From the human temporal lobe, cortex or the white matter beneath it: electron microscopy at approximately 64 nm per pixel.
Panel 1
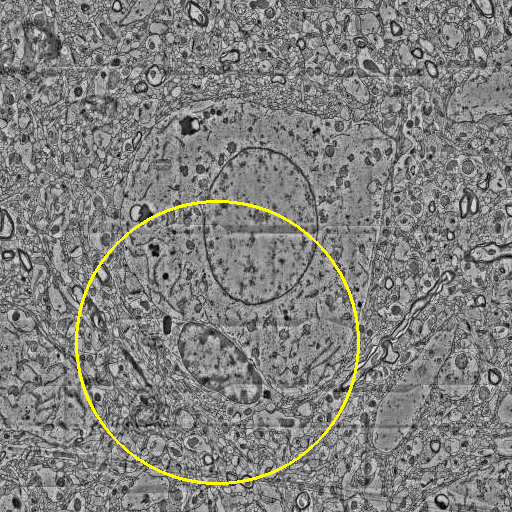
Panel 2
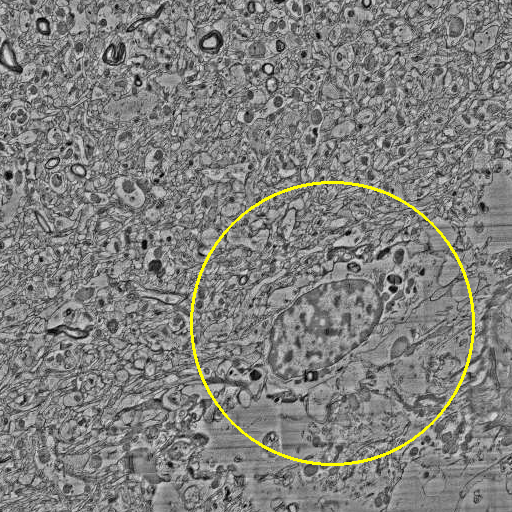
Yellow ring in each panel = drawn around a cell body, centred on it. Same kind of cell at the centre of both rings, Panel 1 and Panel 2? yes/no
yes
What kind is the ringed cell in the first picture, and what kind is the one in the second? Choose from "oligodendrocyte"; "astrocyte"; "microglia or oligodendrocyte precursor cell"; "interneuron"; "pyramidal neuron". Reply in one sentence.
In each of the two pictures, the ringed cell is a microglial cell or oligodendrocyte precursor cell.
